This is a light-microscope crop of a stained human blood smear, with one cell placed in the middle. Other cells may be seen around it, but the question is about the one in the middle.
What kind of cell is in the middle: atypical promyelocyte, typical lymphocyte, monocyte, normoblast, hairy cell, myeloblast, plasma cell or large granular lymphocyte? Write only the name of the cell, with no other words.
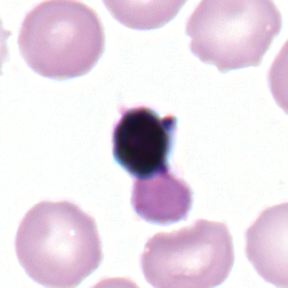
normoblast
